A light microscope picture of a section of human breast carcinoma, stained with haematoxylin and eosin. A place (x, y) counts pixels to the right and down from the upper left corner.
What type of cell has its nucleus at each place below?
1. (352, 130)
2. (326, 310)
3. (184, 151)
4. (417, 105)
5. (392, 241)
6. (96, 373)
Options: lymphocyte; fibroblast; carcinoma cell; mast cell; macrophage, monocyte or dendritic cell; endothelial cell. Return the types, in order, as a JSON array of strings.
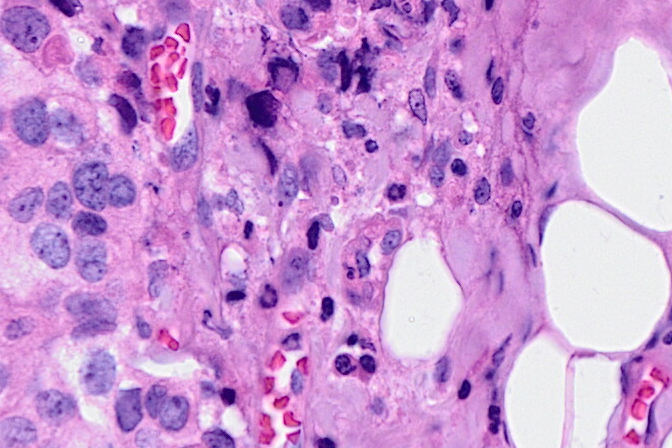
["macrophage, monocyte or dendritic cell", "lymphocyte", "endothelial cell", "macrophage, monocyte or dendritic cell", "endothelial cell", "carcinoma cell"]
